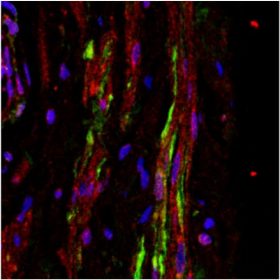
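The fibres stain red along their length, and several of them also carry streaks of green. Elongated oval blue nuclei lie along and between the fibres, following their direction. The green streaks follow the same course as the red fibres rather than forming separate round cells.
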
